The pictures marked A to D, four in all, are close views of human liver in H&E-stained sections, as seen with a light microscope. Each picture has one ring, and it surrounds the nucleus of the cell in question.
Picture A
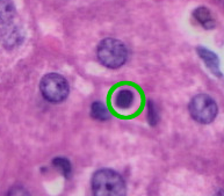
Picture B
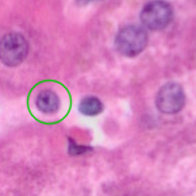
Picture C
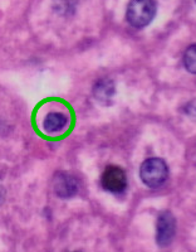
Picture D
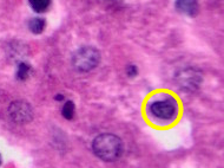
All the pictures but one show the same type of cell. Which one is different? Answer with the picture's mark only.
D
